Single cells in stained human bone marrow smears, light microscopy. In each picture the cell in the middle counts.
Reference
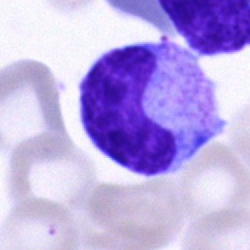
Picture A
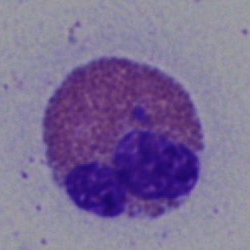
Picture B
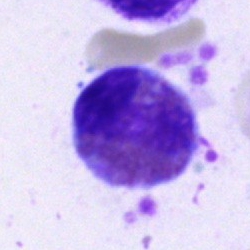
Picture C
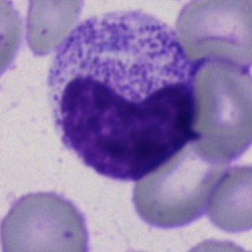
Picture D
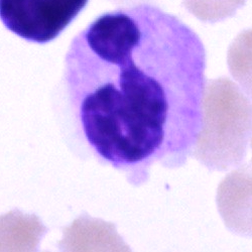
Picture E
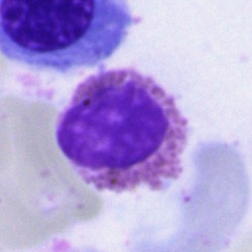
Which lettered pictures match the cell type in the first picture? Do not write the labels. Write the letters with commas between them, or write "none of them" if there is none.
C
